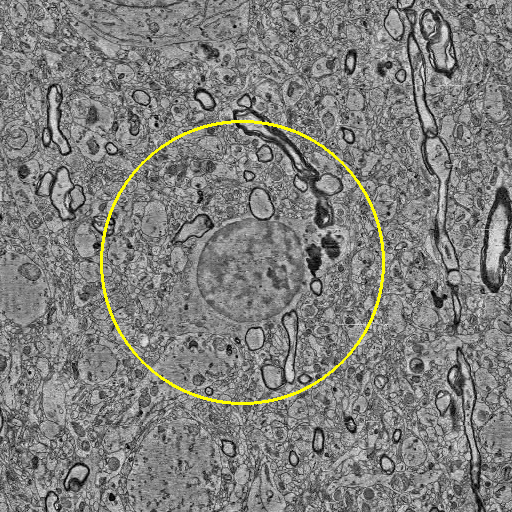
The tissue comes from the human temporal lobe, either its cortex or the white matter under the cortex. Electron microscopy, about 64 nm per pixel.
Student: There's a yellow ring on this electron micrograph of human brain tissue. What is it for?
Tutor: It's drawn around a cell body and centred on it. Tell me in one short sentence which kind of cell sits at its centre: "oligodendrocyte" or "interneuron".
The cell at the centre of the ring is an oligodendrocyte.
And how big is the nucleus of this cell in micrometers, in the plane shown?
About 7 micrometres across in this plane.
